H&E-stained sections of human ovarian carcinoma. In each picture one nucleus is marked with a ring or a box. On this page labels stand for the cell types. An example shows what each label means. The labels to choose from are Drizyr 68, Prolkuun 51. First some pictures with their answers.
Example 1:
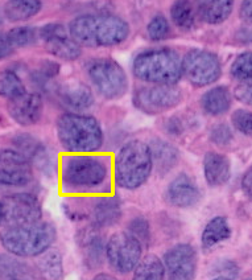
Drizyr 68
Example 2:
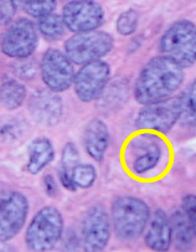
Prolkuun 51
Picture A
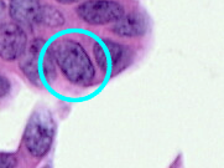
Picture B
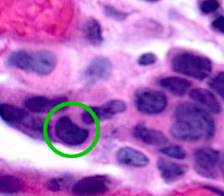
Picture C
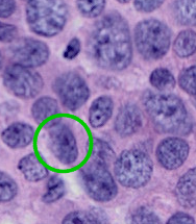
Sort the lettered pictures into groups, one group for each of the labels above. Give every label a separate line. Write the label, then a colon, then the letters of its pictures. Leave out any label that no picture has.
Drizyr 68: A, B, C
